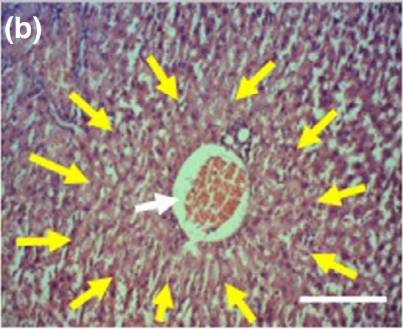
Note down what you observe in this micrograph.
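Liver tissue centred on a central vein whose lumen is filled with red blood cells. Around the vein the hepatocyte plates are disrupted, with pale, irregular and fragmented cells and widened spaces. This disorganised zone extends outward in a ring around the vessel. Staining is uneven, with darker and paler areas across the field.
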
